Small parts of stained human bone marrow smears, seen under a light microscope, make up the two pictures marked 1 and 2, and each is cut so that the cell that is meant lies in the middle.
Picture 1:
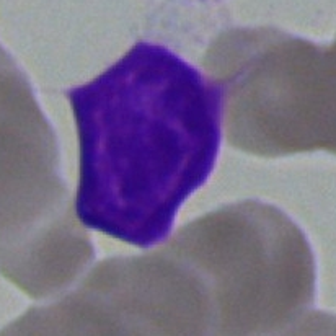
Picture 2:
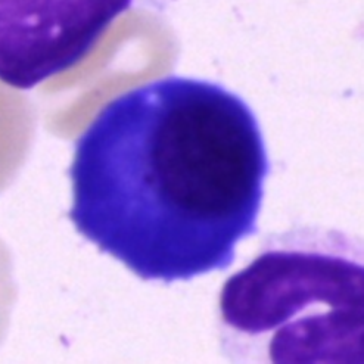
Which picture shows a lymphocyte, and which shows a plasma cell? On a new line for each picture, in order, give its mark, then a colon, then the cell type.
1: lymphocyte
2: plasma cell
